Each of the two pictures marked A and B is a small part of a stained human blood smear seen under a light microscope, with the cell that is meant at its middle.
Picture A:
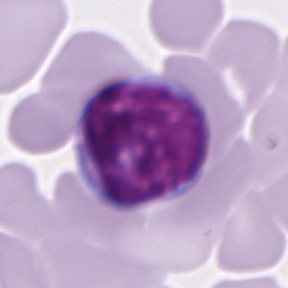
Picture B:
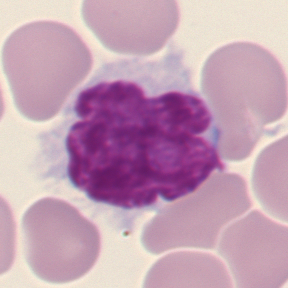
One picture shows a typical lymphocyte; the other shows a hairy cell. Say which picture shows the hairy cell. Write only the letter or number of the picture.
B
